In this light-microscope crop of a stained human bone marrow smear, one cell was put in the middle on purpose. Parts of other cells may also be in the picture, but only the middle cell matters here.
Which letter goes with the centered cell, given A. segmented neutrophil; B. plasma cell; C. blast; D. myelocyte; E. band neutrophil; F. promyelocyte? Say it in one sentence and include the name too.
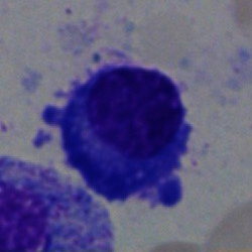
Option B is accurate; the centrally placed cell is a plasma cell.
